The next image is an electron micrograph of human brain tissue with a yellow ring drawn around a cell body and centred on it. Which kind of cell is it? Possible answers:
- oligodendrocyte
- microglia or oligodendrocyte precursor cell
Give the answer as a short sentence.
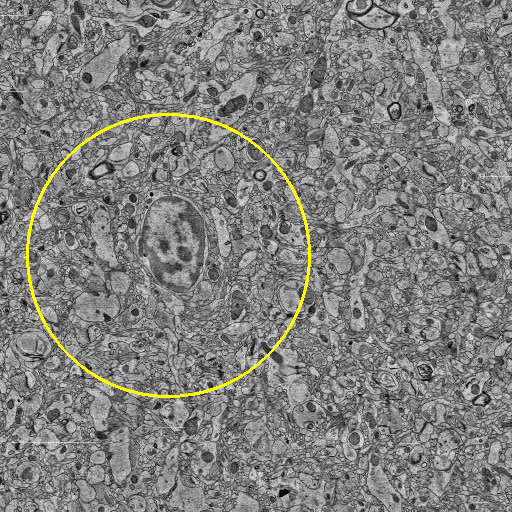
In the ring's centre is a microglial cell or oligodendrocyte precursor cell.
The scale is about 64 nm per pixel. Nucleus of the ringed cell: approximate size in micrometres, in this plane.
Roughly 6 micrometres by 4 micrometres, in this plane.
